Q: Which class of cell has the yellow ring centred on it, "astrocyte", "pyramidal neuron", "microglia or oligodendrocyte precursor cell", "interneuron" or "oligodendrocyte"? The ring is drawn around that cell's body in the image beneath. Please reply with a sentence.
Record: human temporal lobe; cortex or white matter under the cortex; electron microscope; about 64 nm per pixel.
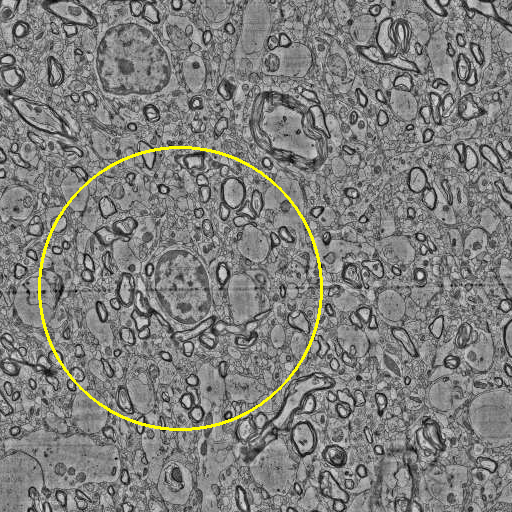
It is centred on a microglial cell or oligodendrocyte precursor cell.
